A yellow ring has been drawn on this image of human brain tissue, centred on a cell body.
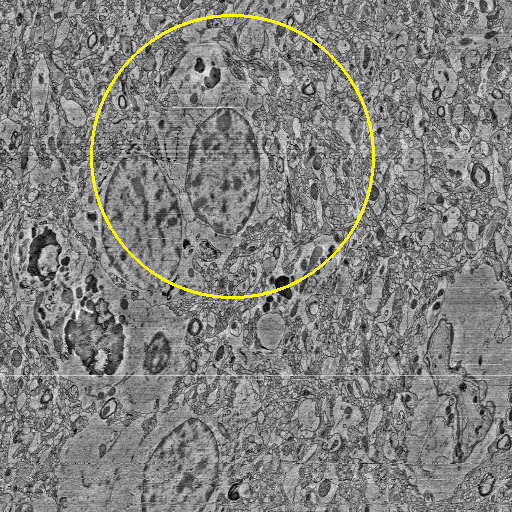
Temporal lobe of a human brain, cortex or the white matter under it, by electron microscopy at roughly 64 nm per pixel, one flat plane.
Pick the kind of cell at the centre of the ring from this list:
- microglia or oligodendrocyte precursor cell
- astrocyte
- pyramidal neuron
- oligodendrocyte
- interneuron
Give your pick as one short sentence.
The centre of the ring holds an astrocyte.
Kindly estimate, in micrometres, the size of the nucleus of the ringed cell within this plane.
About 8 by 5 micrometers; the nucleus is clearly longer than it is wide in this plane.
